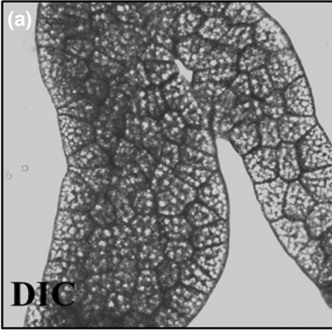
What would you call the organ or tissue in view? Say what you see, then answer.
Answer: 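Fat bodies. A lobed, ribbon-like sheet of tissue. The sheet is made of large polygonal cells joined edge to edge. The cells are packed with many small round droplets.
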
